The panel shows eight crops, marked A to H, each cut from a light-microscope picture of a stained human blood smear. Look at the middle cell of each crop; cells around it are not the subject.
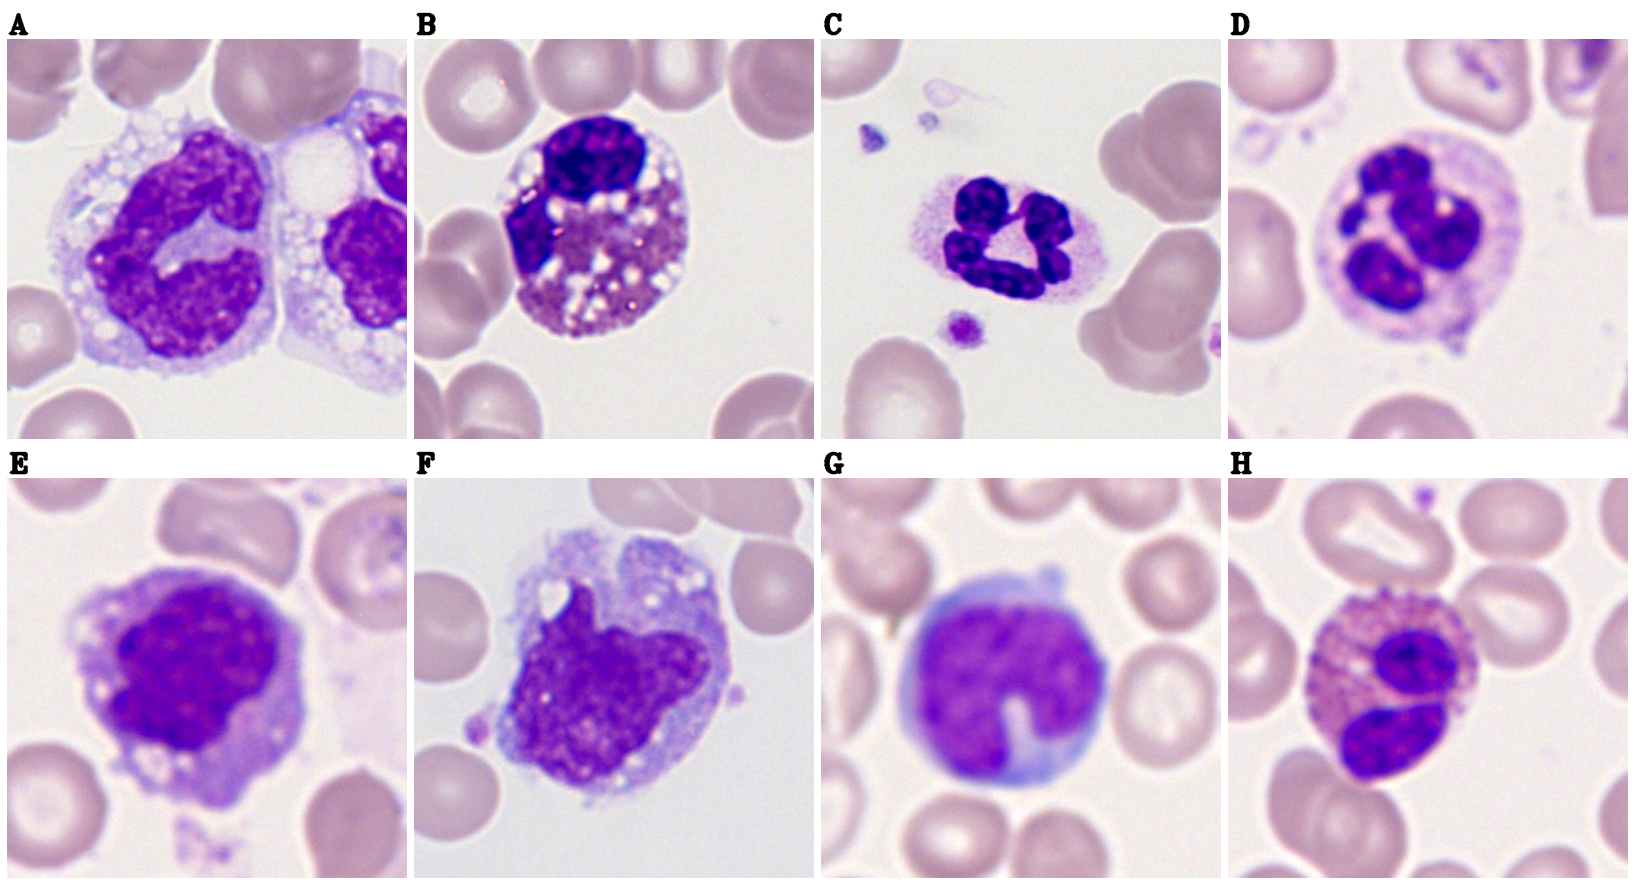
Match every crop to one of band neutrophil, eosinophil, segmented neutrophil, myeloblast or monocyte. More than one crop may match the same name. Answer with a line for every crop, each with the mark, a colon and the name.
A: monocyte
B: eosinophil
C: segmented neutrophil
D: segmented neutrophil
E: monocyte
F: monocyte
G: monocyte
H: eosinophil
